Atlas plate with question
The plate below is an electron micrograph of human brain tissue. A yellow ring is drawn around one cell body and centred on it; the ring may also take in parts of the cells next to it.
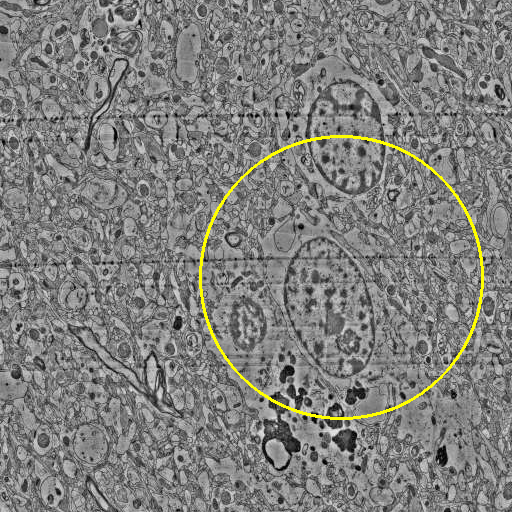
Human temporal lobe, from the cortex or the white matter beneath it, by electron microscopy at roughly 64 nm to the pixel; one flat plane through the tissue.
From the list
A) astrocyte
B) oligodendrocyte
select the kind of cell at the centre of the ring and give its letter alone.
A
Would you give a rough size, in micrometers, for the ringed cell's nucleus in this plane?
Clearly longer than it is wide in this plane, the nucleus measures roughly 9 by 5 micrometres.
